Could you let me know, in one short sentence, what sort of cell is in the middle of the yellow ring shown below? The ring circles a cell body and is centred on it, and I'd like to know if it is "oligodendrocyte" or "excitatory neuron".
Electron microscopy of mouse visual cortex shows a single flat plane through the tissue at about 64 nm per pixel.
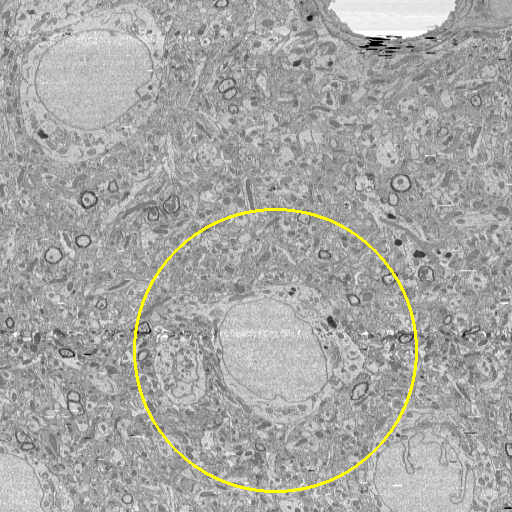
The ring circles the cell body of an excitatory neuron.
